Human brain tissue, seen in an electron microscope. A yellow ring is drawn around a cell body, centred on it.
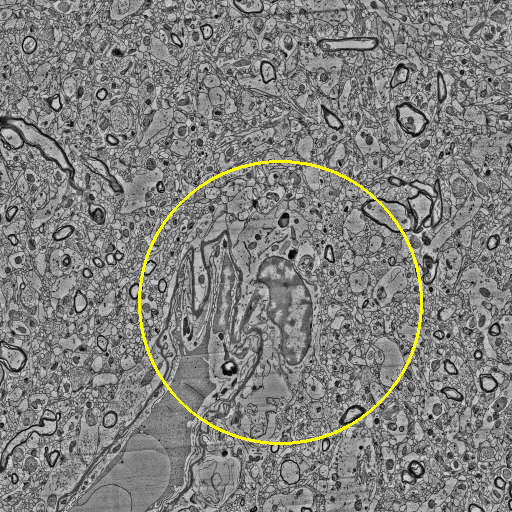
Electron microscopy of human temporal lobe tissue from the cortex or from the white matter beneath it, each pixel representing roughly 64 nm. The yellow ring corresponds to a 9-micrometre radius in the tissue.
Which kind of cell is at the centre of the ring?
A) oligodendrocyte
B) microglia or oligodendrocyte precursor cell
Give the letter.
B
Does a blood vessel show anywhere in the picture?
Yes.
